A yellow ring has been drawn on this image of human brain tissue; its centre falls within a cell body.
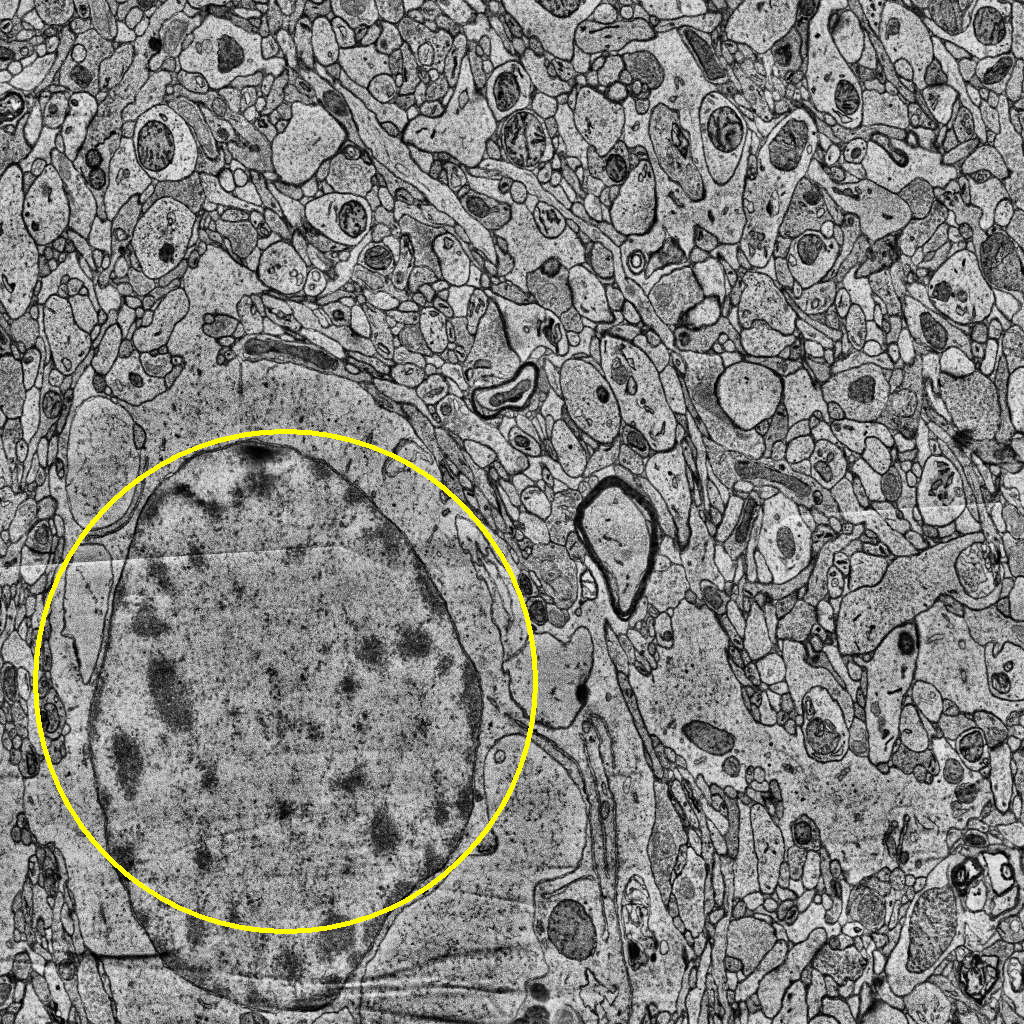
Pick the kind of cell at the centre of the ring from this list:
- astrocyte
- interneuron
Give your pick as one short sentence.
The centre of the ring holds an astrocyte.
